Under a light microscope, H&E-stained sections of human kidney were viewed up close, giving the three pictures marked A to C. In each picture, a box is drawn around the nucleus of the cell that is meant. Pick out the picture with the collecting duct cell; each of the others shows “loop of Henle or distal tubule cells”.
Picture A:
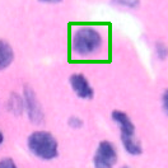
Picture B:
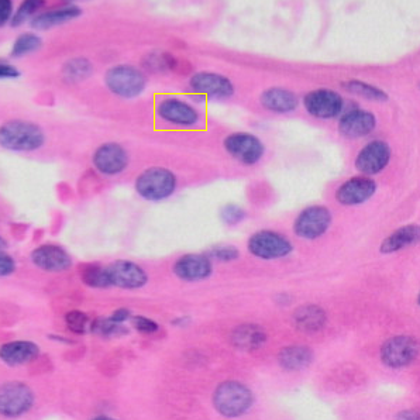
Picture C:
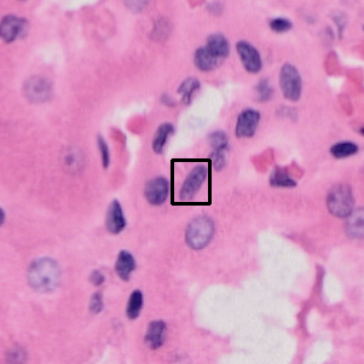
C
